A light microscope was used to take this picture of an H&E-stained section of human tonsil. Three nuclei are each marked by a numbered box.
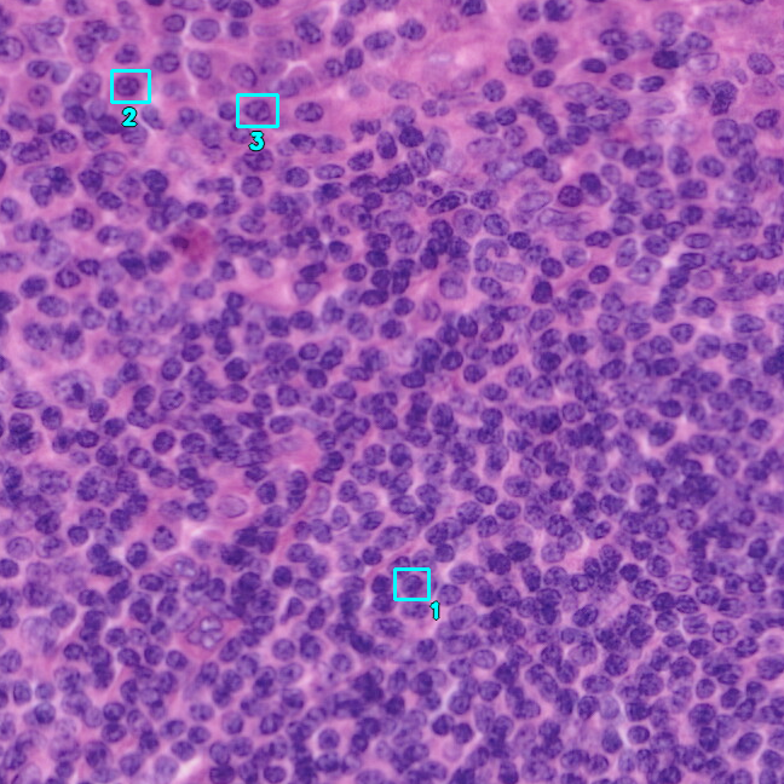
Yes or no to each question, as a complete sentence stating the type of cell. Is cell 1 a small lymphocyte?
Yes, the marked cell number 1 is a small lymphocyte.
